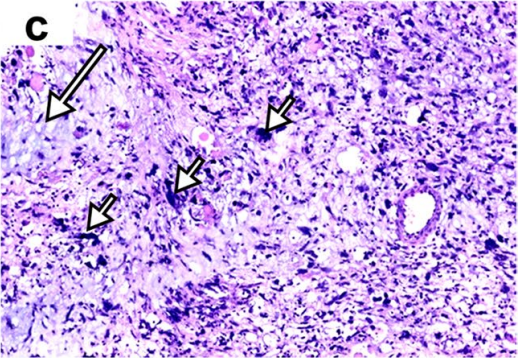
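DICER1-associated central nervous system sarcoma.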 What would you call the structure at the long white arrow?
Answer: Myxoid stroma matrix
